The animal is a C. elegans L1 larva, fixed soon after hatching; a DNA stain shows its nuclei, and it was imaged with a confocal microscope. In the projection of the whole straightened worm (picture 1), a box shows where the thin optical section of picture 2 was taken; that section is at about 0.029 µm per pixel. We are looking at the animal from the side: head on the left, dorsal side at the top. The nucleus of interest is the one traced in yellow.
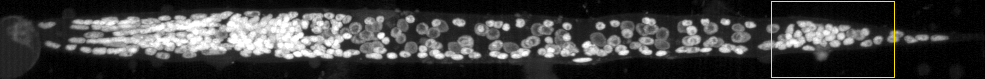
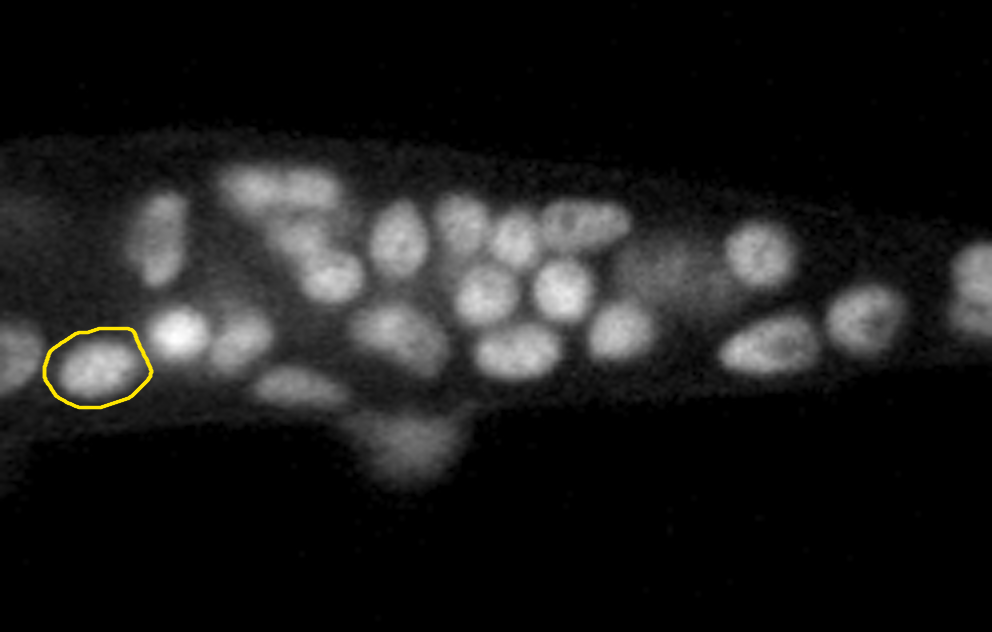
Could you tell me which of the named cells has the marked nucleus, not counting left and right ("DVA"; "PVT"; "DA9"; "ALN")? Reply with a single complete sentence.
The marked cell is PVT, a neuron.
